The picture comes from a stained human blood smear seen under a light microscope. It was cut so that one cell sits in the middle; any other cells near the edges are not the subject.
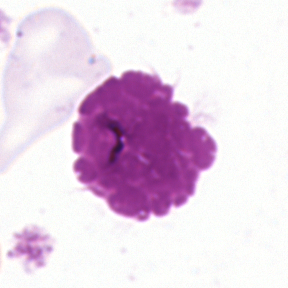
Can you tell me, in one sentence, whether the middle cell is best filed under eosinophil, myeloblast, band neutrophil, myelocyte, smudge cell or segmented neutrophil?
Seen at the centre of the crop is a smudge cell.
